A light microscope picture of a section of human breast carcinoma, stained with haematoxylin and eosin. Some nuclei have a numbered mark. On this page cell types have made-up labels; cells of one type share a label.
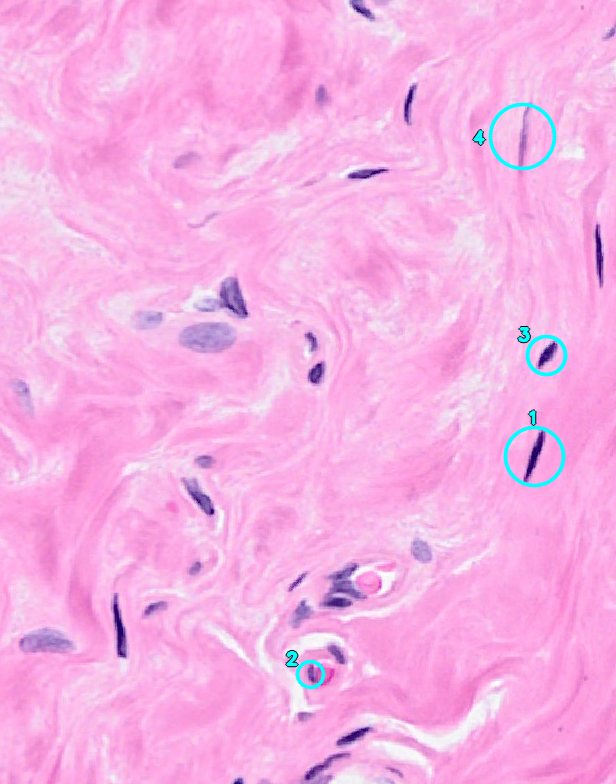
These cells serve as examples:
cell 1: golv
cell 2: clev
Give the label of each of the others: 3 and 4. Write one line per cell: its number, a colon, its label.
3: golv
4: golv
